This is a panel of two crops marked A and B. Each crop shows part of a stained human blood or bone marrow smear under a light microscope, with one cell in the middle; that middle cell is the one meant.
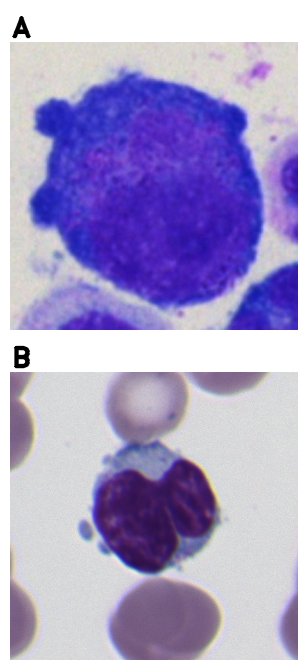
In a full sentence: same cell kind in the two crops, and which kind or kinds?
No, crop A captures a promyelocyte, and crop B captures a monocyte.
